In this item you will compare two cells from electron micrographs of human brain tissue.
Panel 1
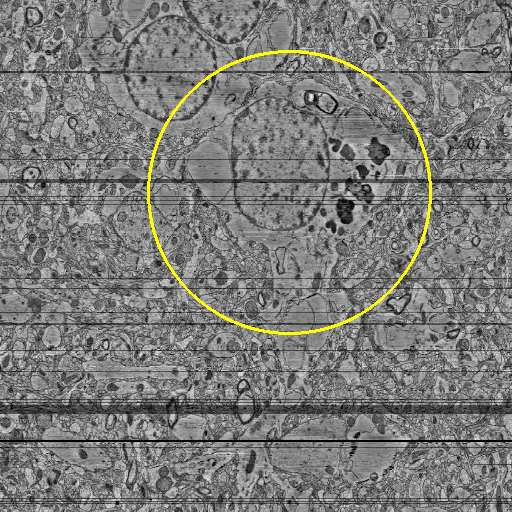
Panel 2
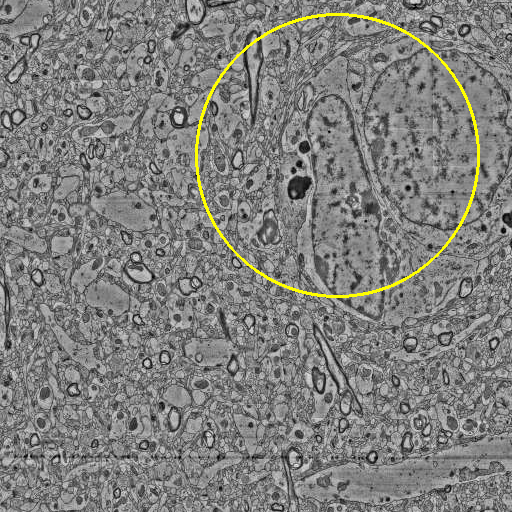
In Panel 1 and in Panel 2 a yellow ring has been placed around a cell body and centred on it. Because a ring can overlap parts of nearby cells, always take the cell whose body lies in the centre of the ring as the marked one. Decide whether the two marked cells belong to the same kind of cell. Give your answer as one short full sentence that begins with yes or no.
No, the two marked cells belong to two kinds of cell.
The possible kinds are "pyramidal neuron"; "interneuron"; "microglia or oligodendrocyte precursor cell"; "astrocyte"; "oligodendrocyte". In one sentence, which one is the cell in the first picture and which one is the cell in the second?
The cell ringed in the second picture is a microglial cell or oligodendrocyte precursor cell, whereas the one ringed in the first is an astrocyte.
